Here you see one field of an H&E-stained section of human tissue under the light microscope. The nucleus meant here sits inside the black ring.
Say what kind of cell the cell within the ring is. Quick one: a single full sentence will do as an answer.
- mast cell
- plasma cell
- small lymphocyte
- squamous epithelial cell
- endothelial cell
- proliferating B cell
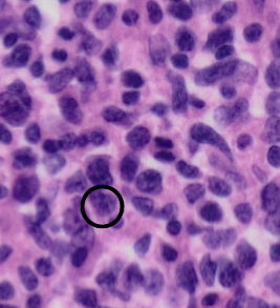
The identity of the cell within the ring is that of a proliferating B cell.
